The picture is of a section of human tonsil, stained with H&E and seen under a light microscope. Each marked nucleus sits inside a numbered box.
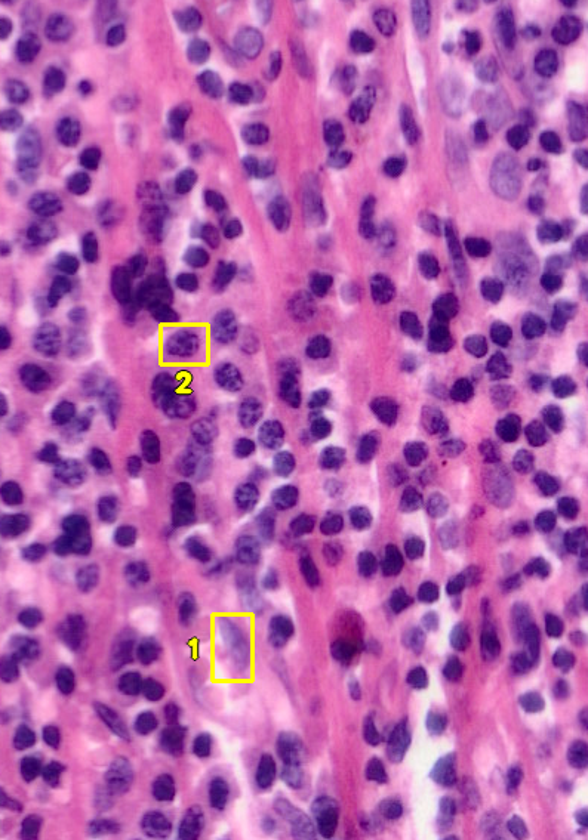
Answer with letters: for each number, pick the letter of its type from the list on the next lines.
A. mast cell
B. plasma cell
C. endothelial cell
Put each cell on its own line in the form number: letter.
1: C
2: B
